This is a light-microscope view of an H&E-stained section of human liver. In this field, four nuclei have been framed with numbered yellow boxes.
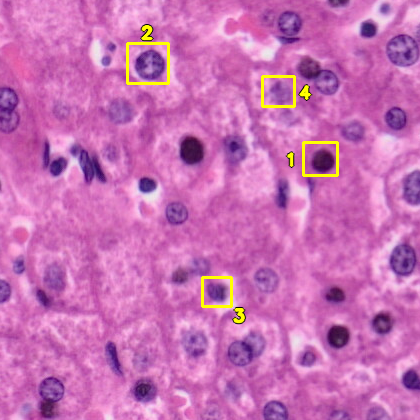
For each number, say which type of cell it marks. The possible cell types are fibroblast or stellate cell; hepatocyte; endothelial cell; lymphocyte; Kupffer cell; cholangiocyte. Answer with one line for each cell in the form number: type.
1: hepatocyte
2: hepatocyte
3: Kupffer cell
4: hepatocyte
